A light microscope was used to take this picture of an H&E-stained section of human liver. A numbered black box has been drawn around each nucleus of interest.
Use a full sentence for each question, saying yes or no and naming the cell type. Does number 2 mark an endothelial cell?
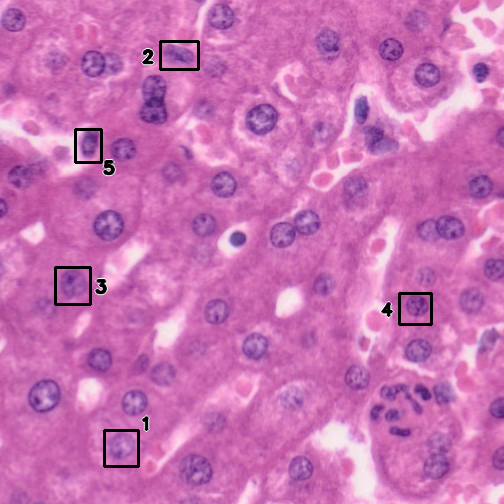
Yes, an endothelial cell is what the cell numbered 2 is.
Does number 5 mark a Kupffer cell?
Yes, the numbered cell 5 is a Kupffer cell.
